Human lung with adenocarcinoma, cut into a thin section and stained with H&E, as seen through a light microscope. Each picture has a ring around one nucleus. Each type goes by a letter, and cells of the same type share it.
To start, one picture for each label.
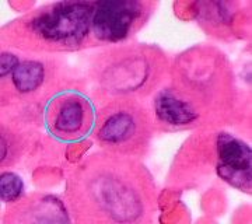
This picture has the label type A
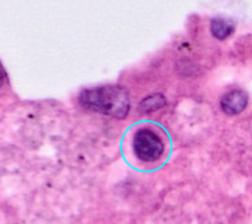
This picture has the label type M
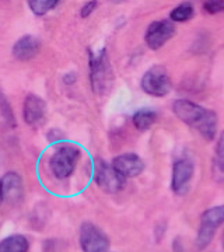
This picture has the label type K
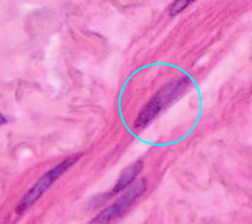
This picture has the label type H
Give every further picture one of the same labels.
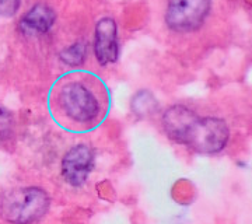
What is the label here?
type A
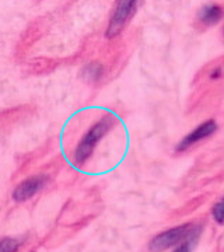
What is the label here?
type H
